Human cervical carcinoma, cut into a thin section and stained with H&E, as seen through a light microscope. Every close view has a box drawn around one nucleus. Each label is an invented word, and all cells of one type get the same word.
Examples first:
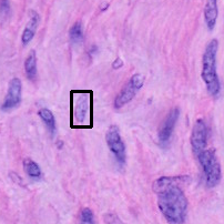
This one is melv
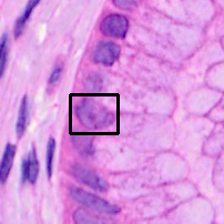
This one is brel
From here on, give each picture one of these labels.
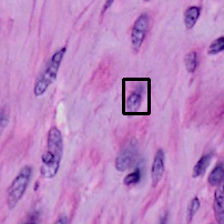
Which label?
melv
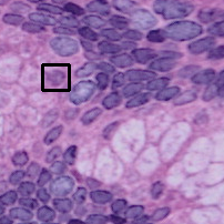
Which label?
brel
